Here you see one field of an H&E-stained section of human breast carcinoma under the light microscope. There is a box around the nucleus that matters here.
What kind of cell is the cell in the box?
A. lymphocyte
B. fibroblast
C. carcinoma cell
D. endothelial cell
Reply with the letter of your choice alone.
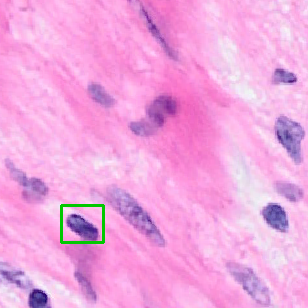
A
